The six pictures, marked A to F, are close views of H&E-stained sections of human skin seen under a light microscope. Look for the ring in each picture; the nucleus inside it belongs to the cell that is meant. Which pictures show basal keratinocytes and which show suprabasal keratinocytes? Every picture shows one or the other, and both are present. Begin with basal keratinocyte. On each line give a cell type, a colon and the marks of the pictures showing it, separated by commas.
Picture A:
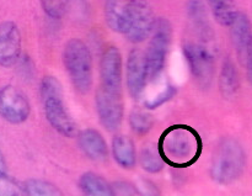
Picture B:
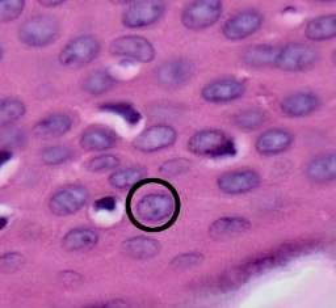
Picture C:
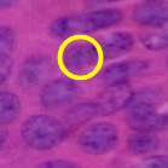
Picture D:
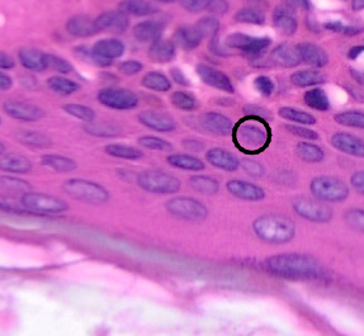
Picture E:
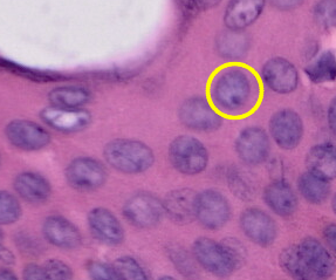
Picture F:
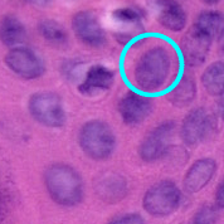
basal keratinocyte: A, C, D, F
suprabasal keratinocyte: B, E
